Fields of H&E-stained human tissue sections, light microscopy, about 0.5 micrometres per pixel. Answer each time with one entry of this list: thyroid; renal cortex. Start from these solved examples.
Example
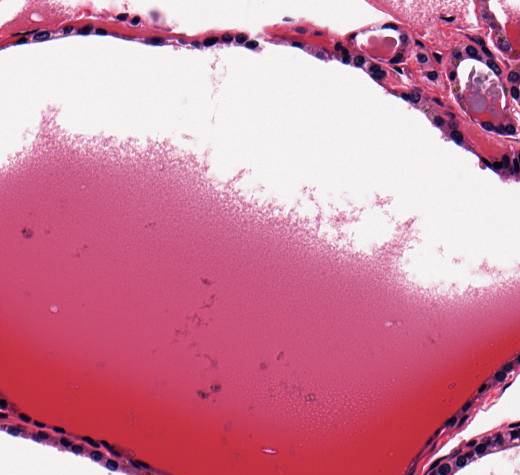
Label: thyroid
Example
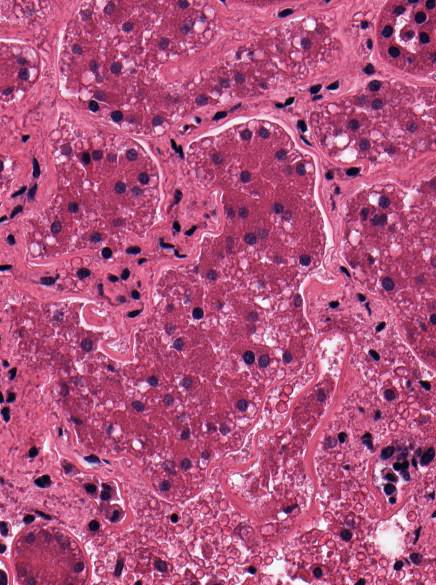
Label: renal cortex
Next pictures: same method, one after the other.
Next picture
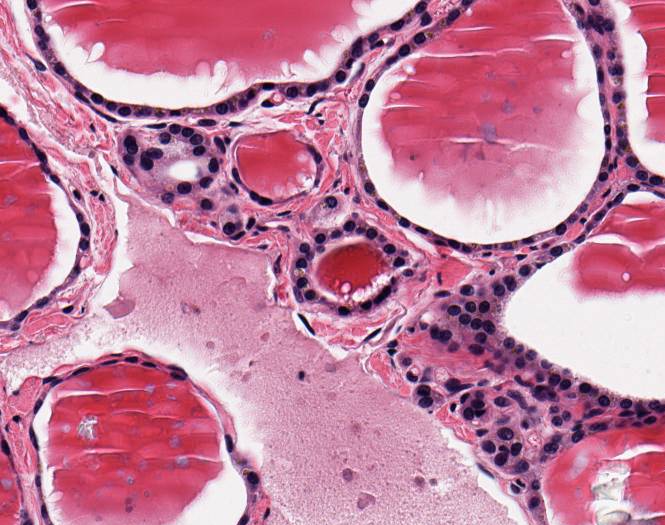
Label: thyroid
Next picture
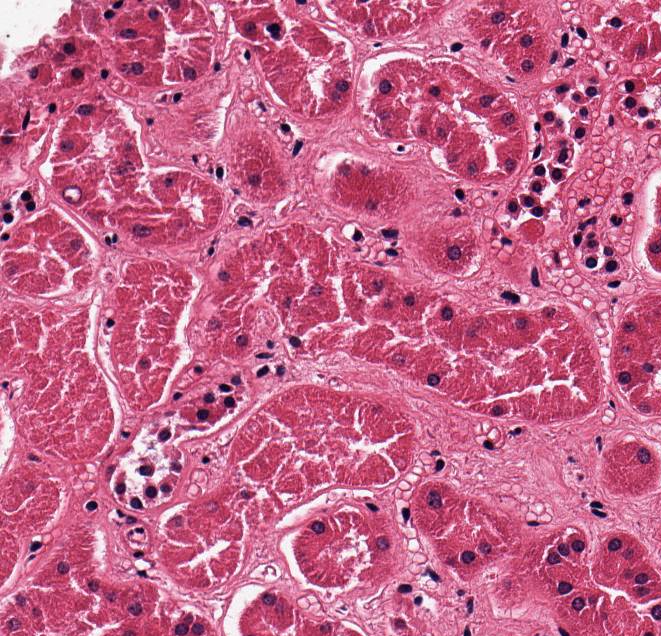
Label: renal cortex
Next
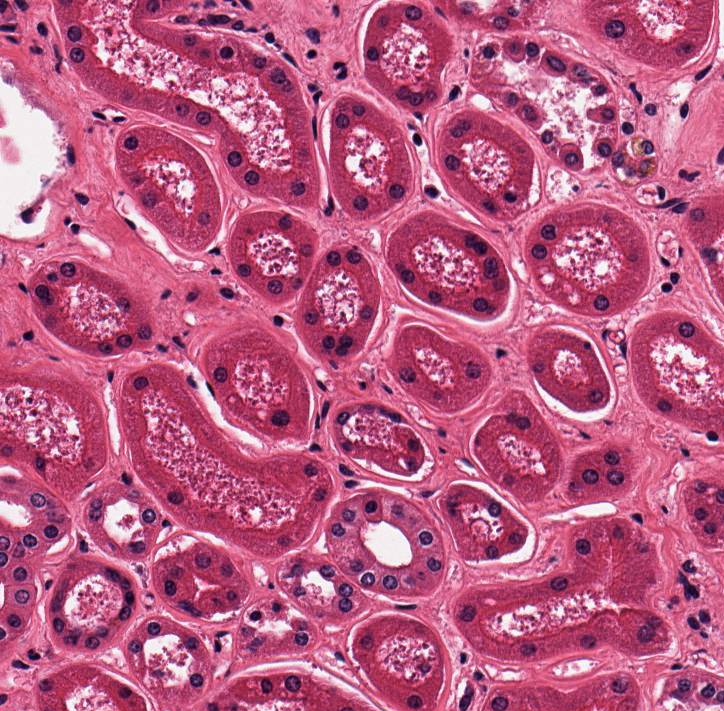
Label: renal cortex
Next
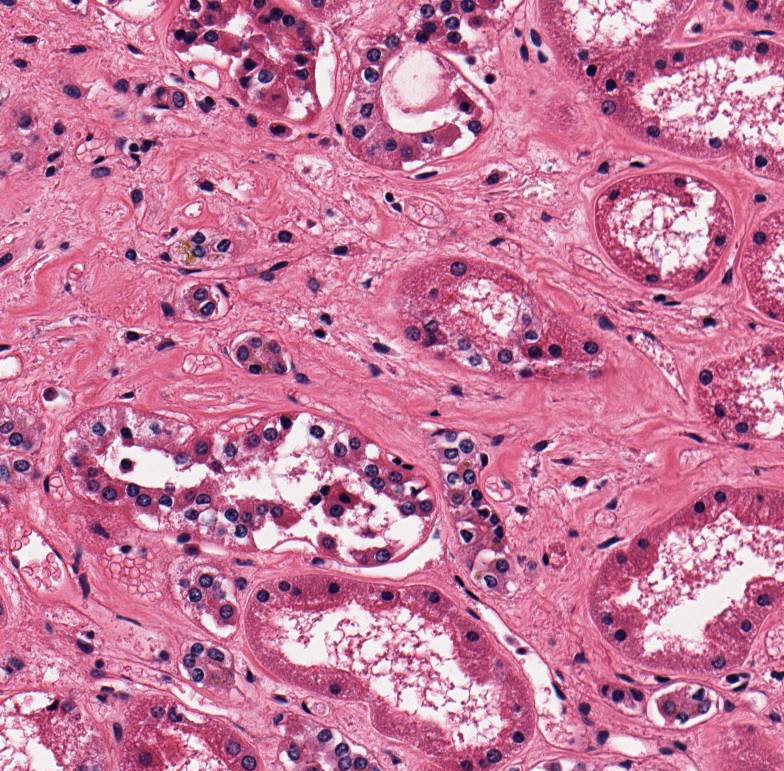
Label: renal cortex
